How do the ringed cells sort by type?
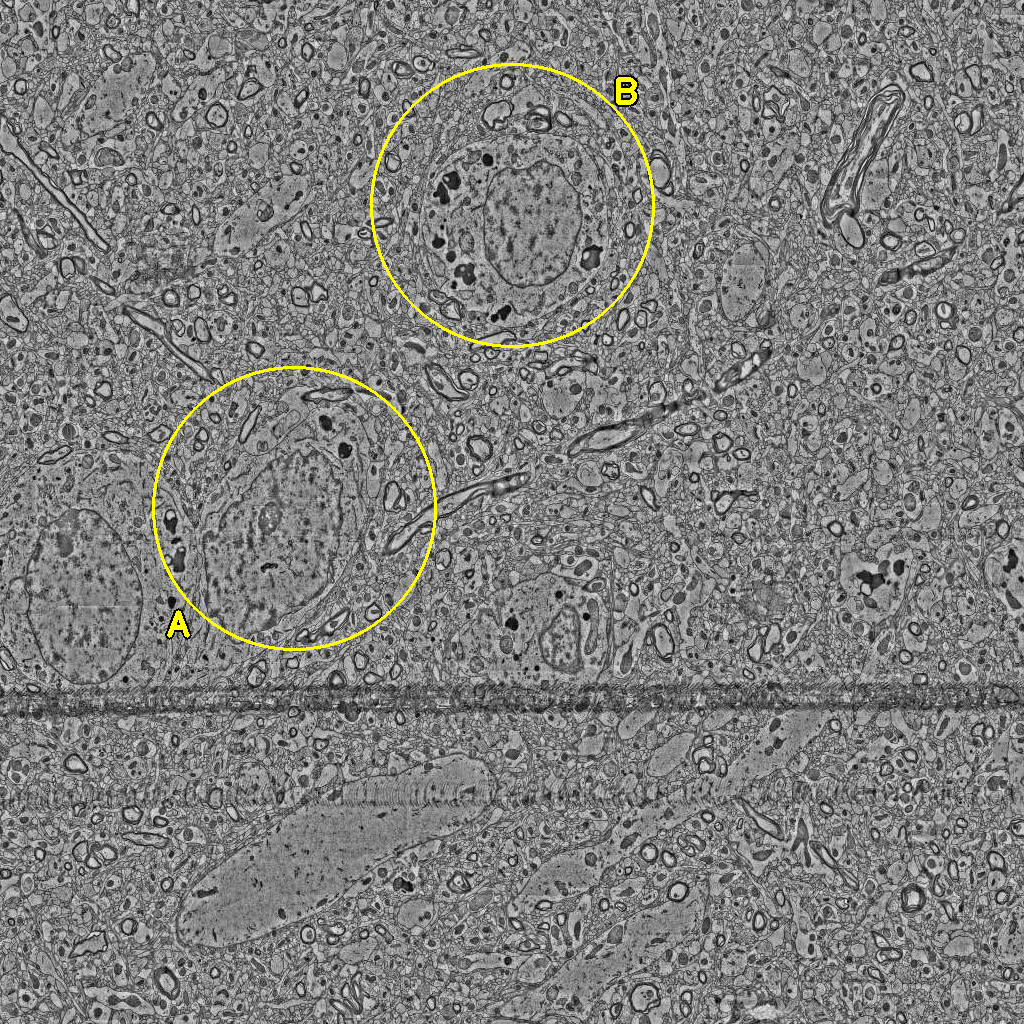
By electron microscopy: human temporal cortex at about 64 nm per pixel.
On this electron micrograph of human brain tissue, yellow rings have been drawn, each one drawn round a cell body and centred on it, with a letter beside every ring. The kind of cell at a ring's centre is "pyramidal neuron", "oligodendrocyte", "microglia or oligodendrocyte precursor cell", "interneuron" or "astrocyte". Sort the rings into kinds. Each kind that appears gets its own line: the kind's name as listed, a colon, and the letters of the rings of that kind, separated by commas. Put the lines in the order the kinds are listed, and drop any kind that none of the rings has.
pyramidal neuron: B
interneuron: A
